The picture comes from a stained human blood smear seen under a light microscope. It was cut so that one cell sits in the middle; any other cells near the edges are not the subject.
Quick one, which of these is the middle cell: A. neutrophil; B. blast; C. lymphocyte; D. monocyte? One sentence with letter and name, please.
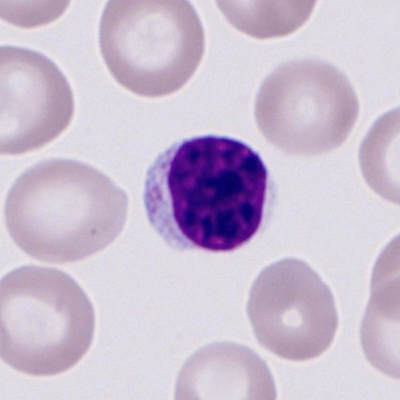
Option C is correct in that the central cell is a lymphocyte.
